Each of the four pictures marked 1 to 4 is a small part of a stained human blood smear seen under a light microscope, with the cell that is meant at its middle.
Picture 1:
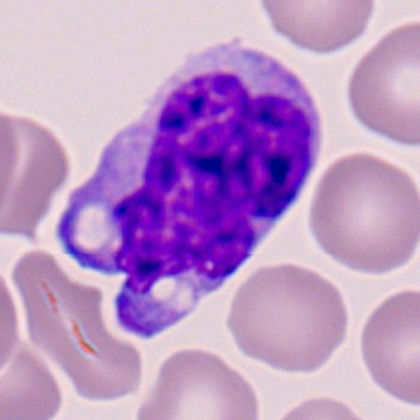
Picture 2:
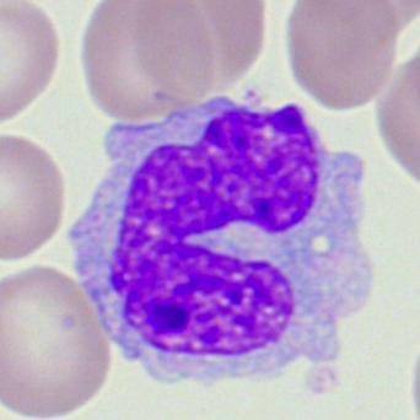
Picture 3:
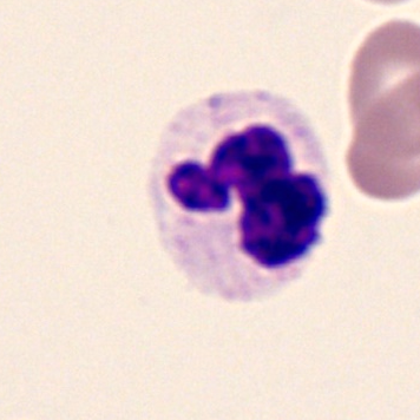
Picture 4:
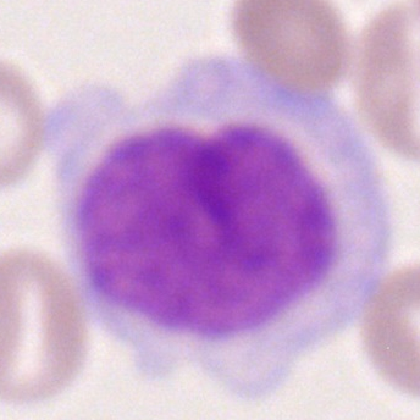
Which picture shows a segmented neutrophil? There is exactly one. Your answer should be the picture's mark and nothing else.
3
